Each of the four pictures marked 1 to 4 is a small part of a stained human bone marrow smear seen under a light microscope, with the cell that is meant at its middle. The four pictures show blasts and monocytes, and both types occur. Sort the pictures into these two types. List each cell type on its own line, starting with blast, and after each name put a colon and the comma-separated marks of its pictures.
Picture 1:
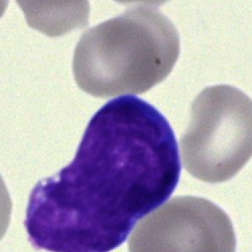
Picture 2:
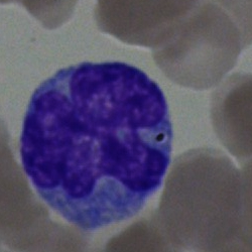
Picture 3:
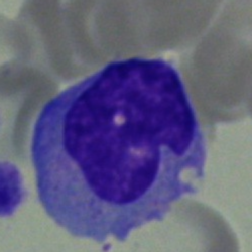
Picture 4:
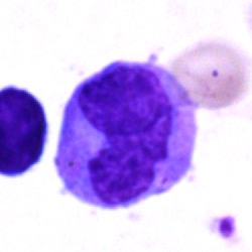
blast: 1
monocyte: 2, 3, 4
